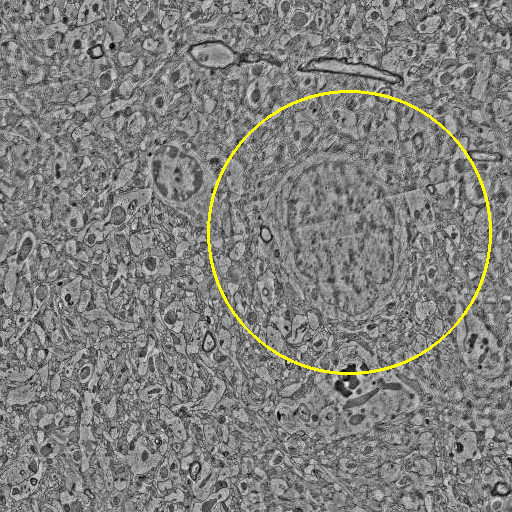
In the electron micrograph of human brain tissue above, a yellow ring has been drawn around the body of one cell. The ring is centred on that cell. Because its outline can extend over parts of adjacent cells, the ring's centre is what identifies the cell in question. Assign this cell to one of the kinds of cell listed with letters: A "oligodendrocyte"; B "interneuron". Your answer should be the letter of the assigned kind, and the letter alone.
B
